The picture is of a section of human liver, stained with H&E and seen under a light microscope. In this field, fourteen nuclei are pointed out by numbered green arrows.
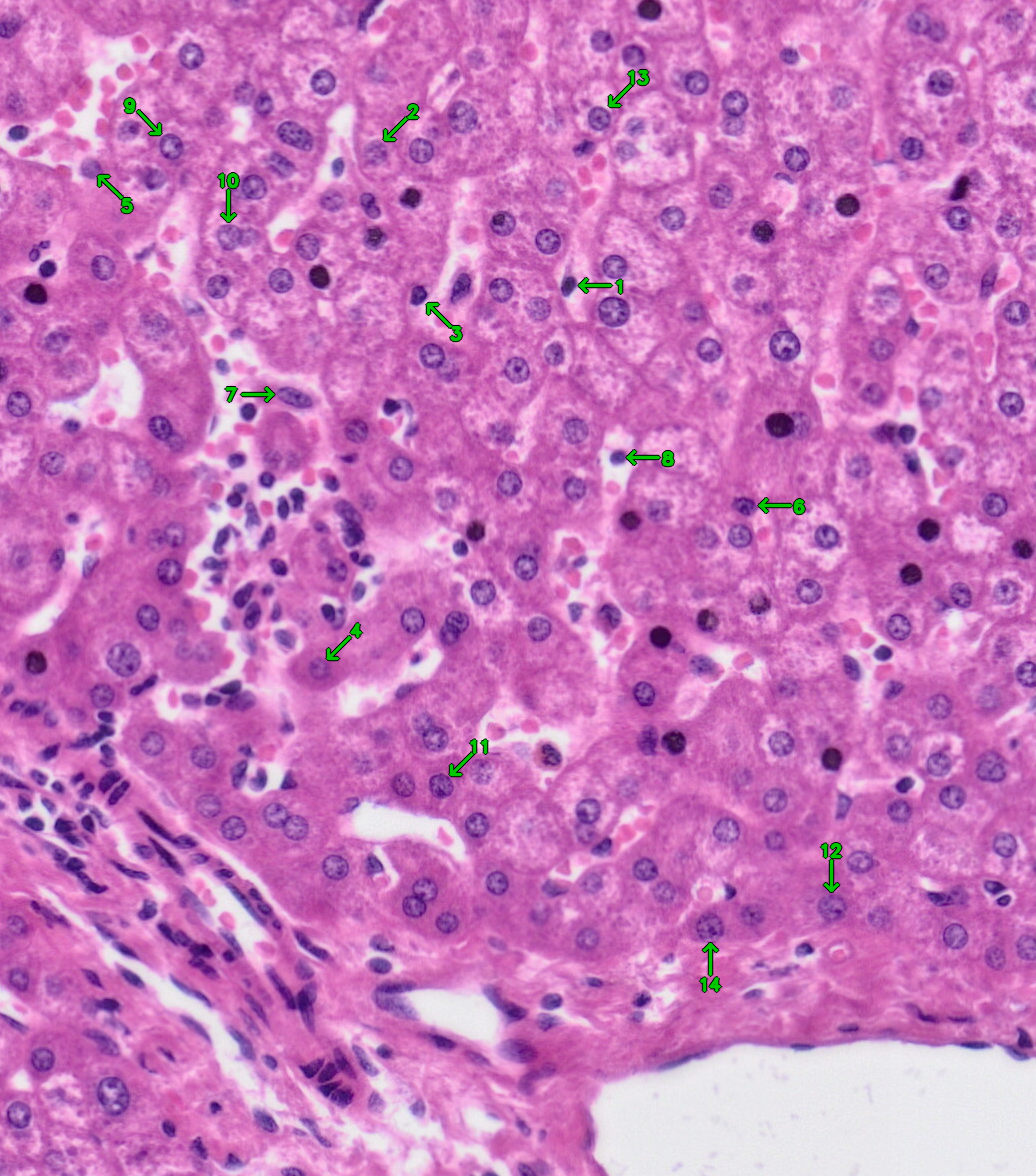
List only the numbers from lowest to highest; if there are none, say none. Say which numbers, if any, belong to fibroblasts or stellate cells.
3, 6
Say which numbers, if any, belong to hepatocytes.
2, 4, 9, 10, 11, 12, 13, 14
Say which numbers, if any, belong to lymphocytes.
1, 8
